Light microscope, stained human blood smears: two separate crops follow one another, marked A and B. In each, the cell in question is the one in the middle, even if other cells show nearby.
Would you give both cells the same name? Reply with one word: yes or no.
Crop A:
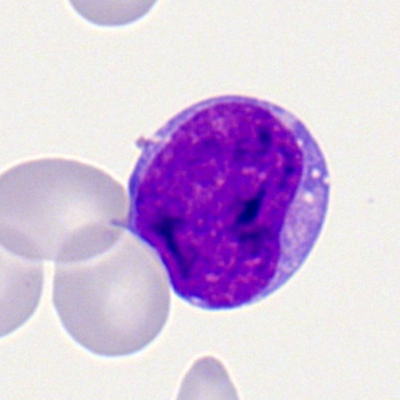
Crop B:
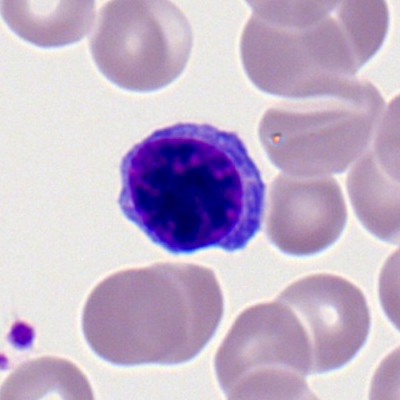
no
